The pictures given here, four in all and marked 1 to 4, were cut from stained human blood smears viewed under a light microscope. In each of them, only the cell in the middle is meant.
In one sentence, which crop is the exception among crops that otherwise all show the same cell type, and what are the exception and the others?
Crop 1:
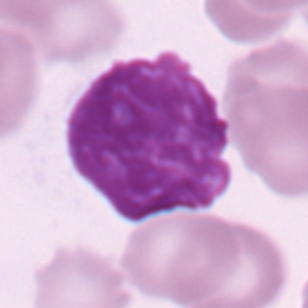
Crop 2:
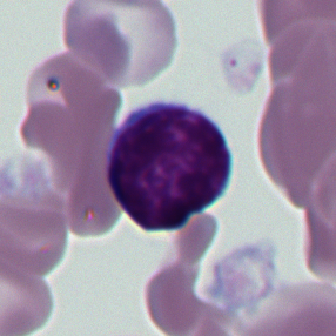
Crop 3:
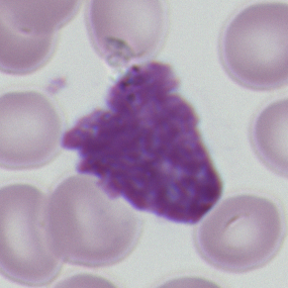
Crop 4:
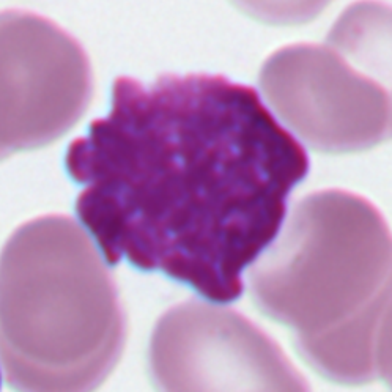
Of the crops, all show smudge cells save crop 2, which shows a typical lymphocyte.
